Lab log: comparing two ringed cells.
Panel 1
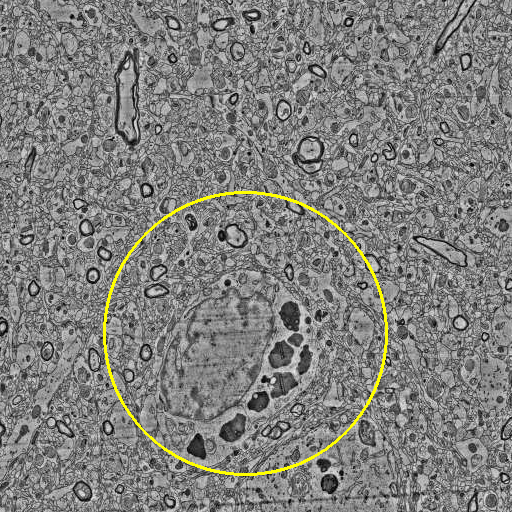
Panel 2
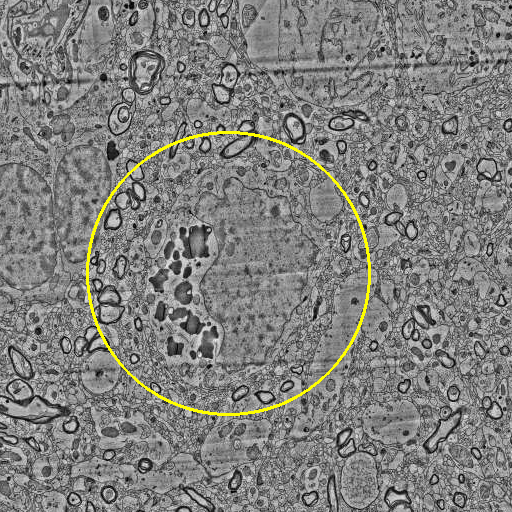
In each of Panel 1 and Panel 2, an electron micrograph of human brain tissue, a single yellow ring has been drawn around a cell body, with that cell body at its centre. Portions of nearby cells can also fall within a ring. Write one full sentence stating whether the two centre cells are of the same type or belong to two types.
The cells at the ring centres in Panel 1 and Panel 2 are of the same type.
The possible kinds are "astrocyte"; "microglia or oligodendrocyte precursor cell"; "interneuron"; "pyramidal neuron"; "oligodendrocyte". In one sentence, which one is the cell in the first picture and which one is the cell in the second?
Each one of the two ringed cells is an interneuron.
